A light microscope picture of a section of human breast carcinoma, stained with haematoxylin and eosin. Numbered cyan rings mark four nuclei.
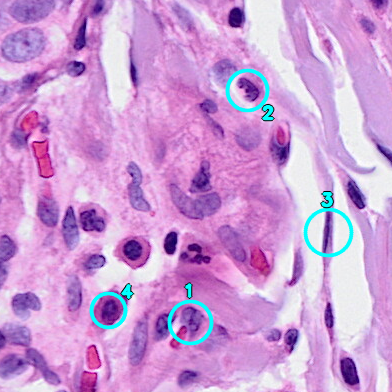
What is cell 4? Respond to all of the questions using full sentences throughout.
Number 4 is placed on a mast cell here.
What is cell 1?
The cell given label 1 is an endothelial cell.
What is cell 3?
The cell bearing label 3 corresponds to a fibroblast.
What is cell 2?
The nucleus labeled 2 belongs to a macrophage, monocyte or dendritic cell.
